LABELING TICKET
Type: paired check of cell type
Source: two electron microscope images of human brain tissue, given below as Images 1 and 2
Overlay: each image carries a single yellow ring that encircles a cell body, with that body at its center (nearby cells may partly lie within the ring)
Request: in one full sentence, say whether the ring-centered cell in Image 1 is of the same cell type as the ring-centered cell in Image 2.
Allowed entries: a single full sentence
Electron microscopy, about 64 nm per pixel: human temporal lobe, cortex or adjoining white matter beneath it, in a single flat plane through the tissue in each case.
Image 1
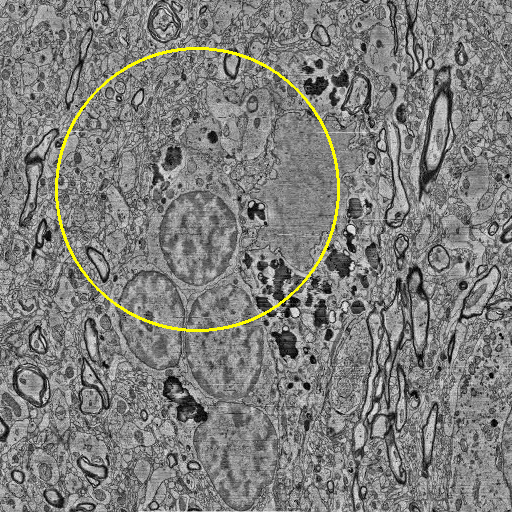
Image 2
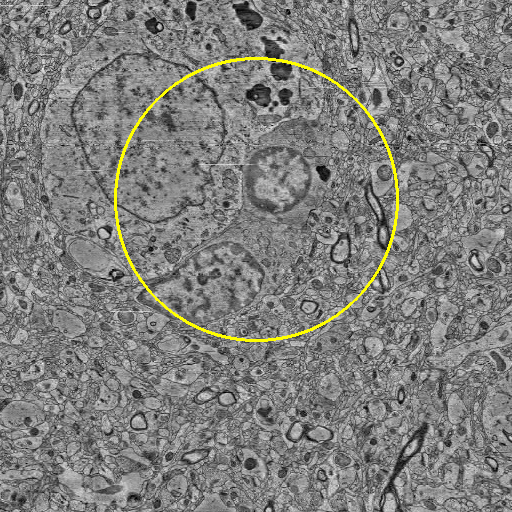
Yes, the cells centered in the rings of Image 1 and Image 2 share one type.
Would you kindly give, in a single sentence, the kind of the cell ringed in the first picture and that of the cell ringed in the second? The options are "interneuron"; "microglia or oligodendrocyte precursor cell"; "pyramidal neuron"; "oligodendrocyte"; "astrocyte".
In each picture the ringed cell is an oligodendrocyte.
